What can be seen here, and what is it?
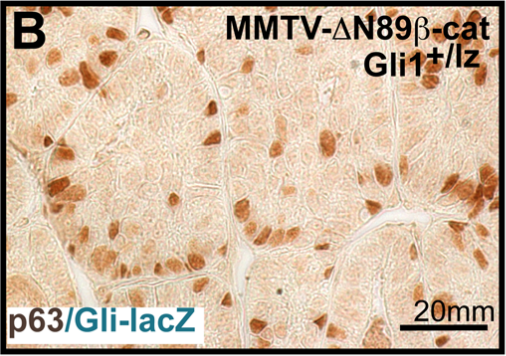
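Section of a mammary tumor made of sheets of pale tumor cells with faint cell borders, divided by thin strands of stroma. Scattered nuclei stained brown lie among them, many along the edges of the cell groups. No blue stain is seen.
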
